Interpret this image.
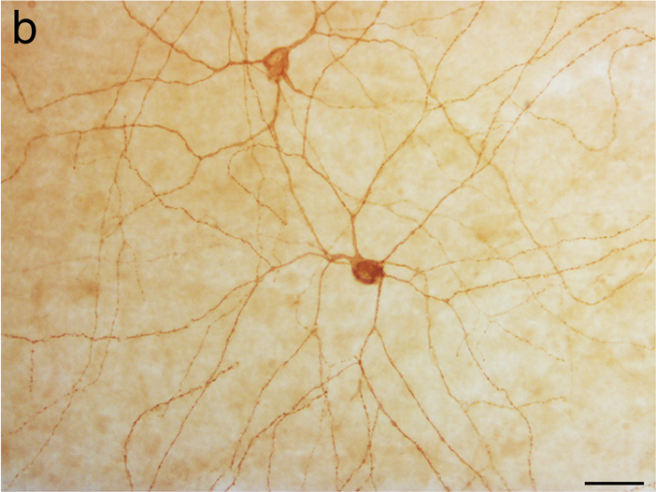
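A flat wholemount of retina shows two brown-stained retinal ganglion cells against a pale beige background. Each cell has a rounded cell body, one near the upper middle of the field and one near its centre. Several thin primary dendrites leave each cell body and branch sparsely into long, fine processes that run far across the field. The dendrites are beaded along their length and cross one another, forming a loose, wide-meshed network that covers most of the image. Outside the stained cells, the tissue shows no distinct structure.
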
